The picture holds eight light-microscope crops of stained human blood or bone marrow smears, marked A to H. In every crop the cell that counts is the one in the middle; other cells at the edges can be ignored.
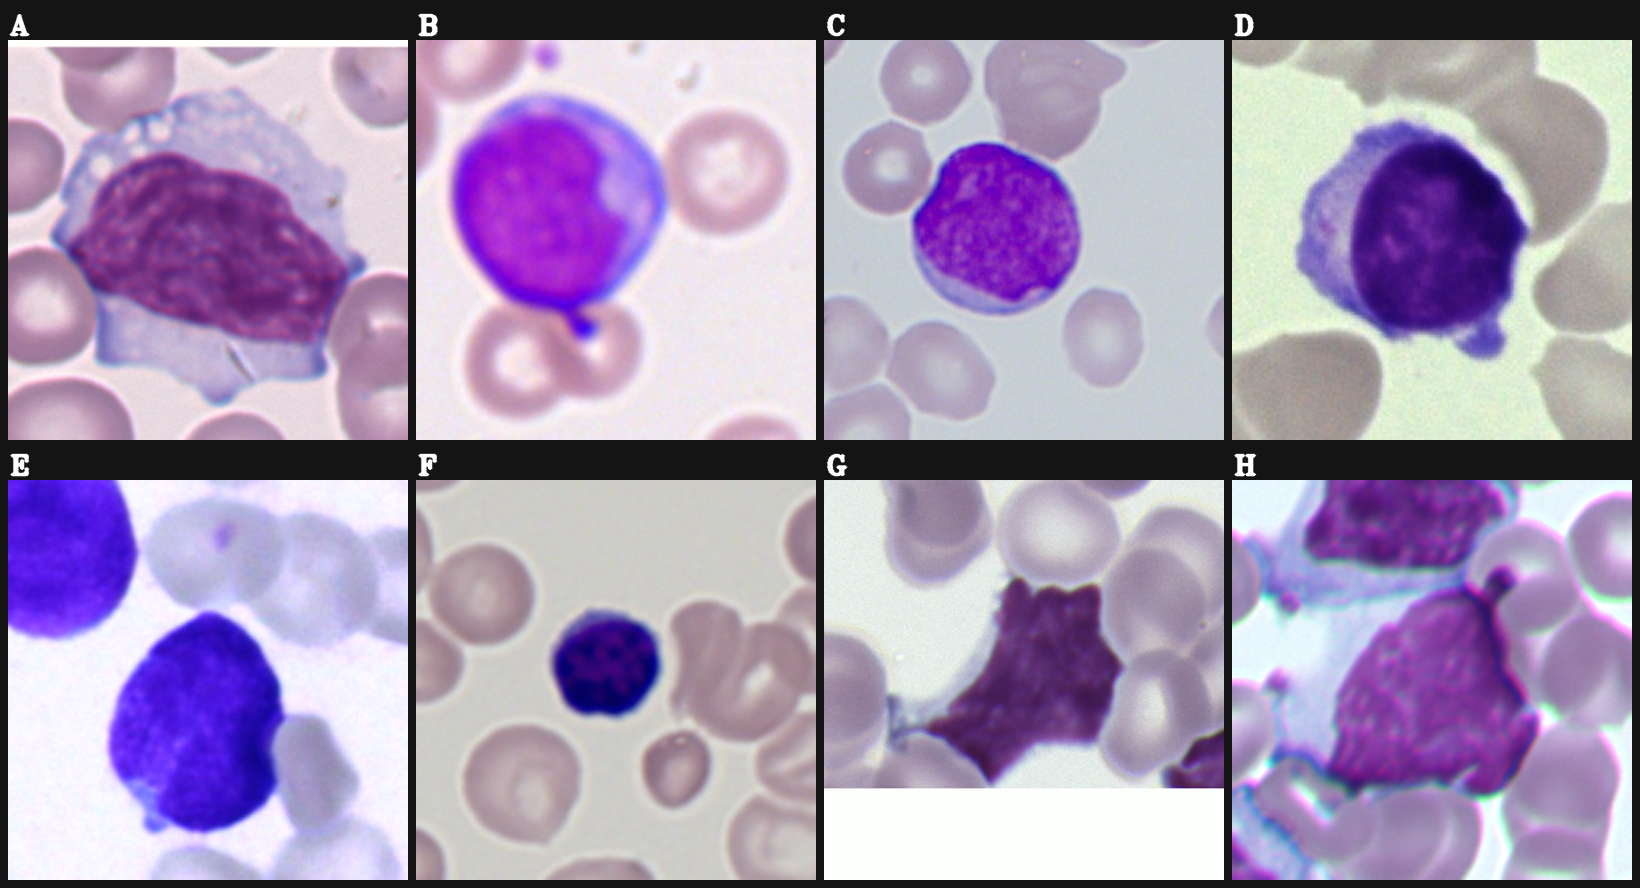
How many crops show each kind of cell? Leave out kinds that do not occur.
blast: 4
lymphocyte: 4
